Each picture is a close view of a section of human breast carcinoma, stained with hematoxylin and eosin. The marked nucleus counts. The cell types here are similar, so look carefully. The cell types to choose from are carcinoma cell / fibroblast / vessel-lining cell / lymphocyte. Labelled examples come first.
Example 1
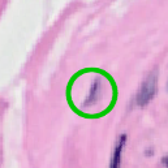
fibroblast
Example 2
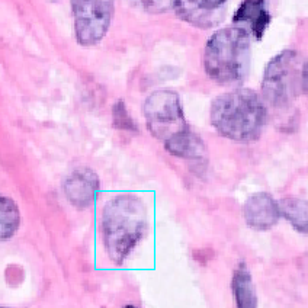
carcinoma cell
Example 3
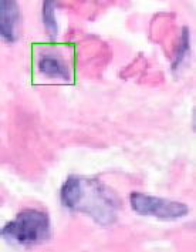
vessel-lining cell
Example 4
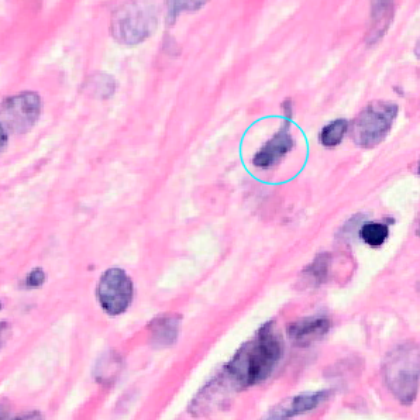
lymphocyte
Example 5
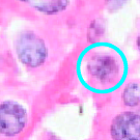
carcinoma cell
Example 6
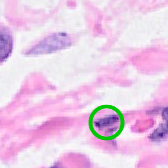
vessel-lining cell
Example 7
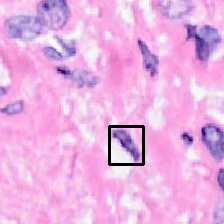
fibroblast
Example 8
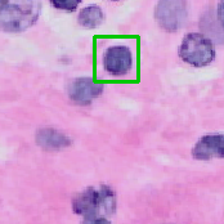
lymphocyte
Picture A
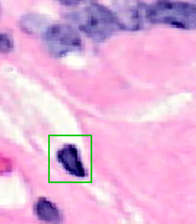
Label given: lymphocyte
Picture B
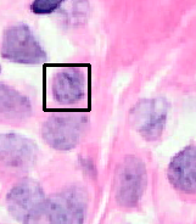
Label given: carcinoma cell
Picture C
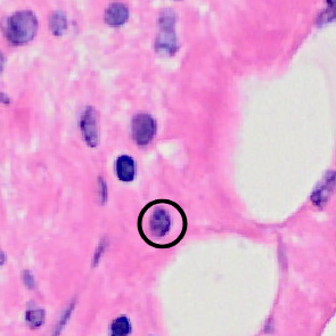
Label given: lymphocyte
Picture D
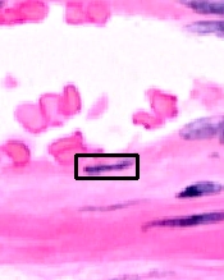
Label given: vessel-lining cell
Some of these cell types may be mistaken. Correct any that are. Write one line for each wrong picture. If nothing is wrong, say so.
All labels are correct.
